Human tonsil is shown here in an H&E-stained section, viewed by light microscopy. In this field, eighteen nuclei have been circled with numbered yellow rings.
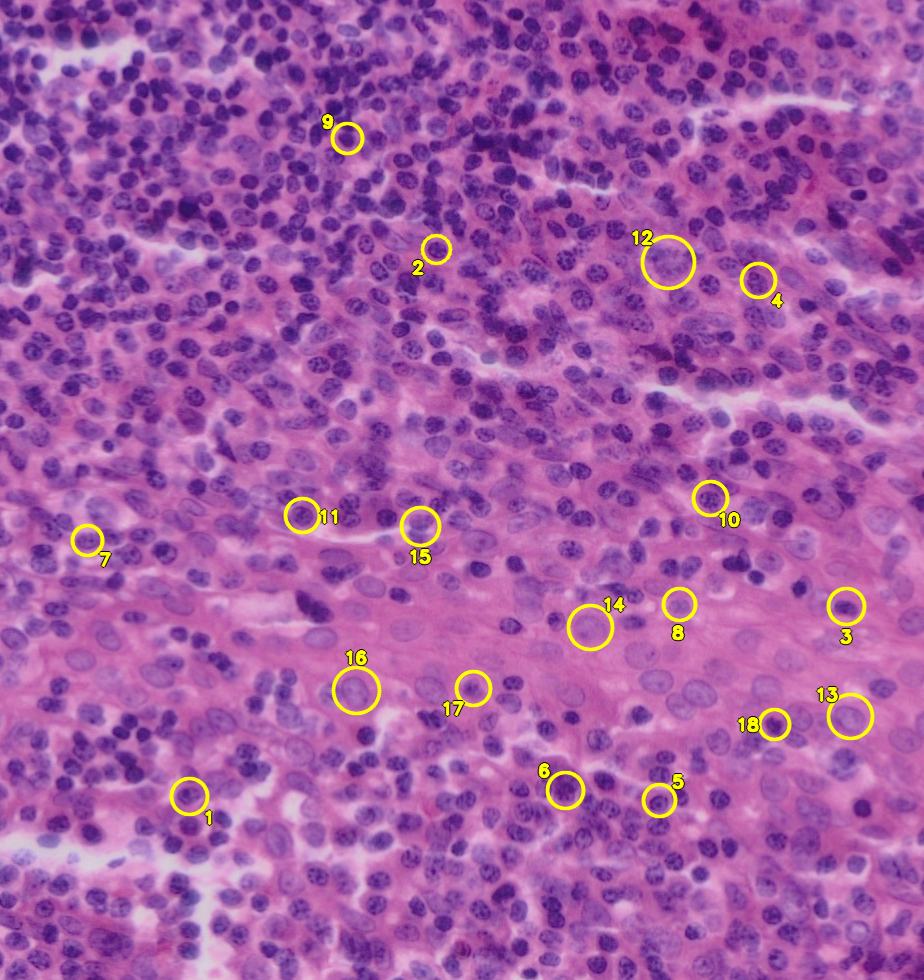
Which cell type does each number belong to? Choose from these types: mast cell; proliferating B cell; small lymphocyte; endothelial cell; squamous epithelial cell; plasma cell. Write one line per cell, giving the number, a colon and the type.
1: plasma cell
2: plasma cell
3: squamous epithelial cell
4: plasma cell
5: plasma cell
6: squamous epithelial cell
7: plasma cell
8: squamous epithelial cell
9: small lymphocyte
10: plasma cell
11: plasma cell
12: squamous epithelial cell
13: squamous epithelial cell
14: squamous epithelial cell
15: squamous epithelial cell
16: squamous epithelial cell
17: squamous epithelial cell
18: squamous epithelial cell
